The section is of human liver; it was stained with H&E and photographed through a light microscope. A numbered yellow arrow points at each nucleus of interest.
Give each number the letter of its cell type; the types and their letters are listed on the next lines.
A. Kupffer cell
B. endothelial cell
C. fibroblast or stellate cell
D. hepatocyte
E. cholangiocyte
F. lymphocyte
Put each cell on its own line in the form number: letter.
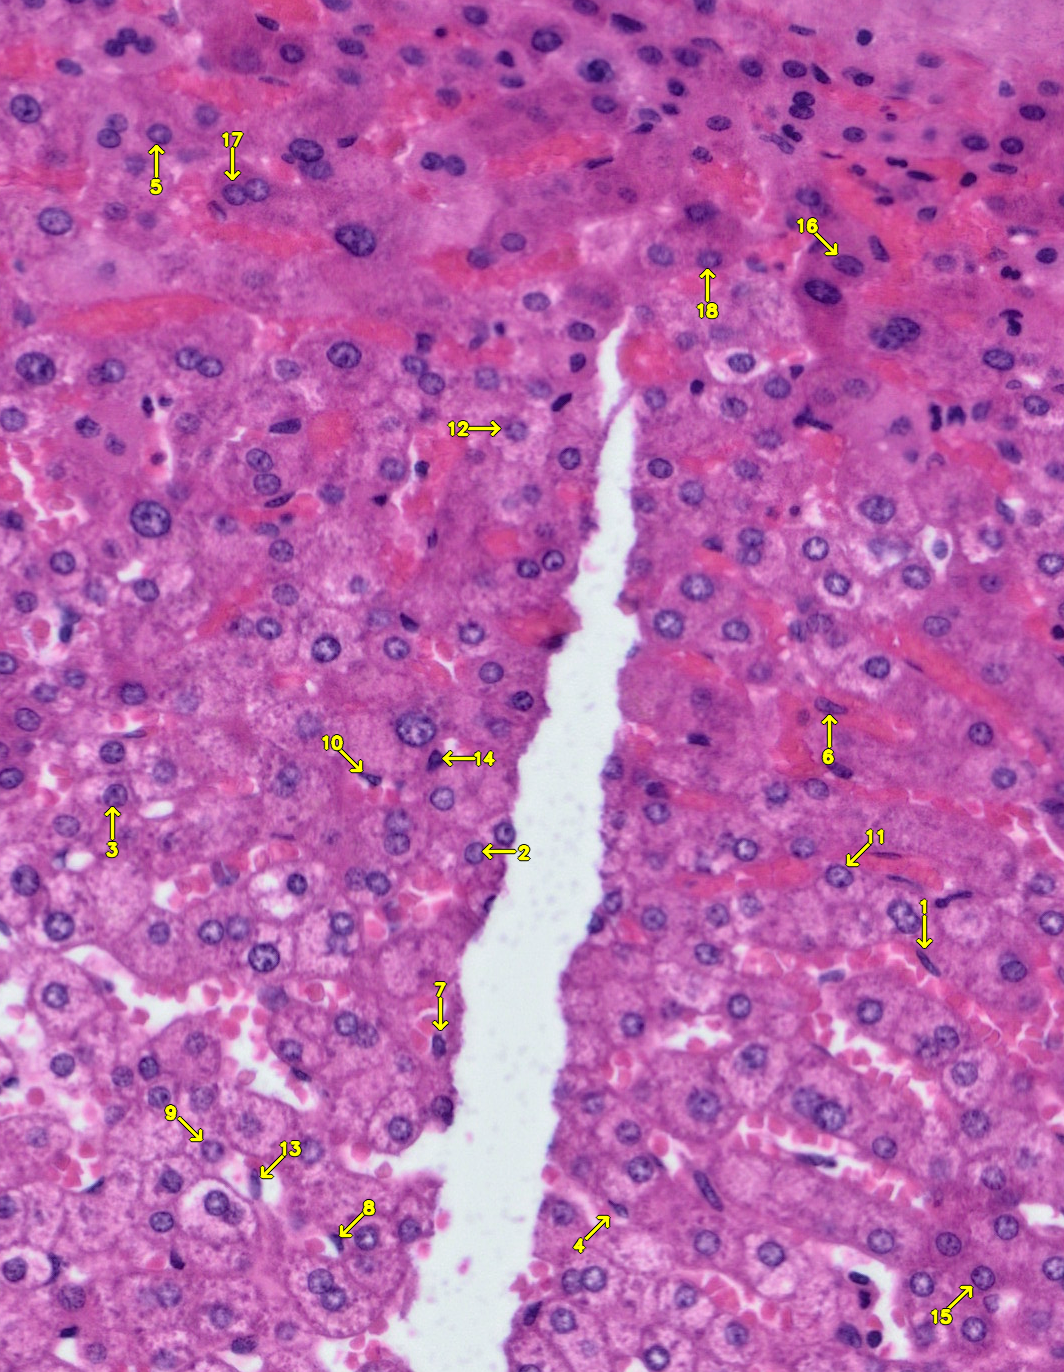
1: B
2: D
3: D
4: B
5: D
6: A
7: C
8: B
9: D
10: B
11: D
12: D
13: A
14: C
15: D
16: D
17: D
18: D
